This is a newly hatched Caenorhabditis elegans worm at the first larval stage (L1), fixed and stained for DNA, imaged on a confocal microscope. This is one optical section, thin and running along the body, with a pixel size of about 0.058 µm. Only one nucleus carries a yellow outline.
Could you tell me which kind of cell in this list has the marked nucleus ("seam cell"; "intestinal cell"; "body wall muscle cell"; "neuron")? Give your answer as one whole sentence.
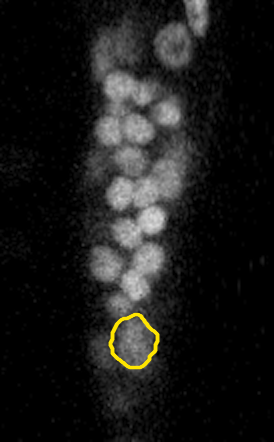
The marked nucleus belongs to a seam cell.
